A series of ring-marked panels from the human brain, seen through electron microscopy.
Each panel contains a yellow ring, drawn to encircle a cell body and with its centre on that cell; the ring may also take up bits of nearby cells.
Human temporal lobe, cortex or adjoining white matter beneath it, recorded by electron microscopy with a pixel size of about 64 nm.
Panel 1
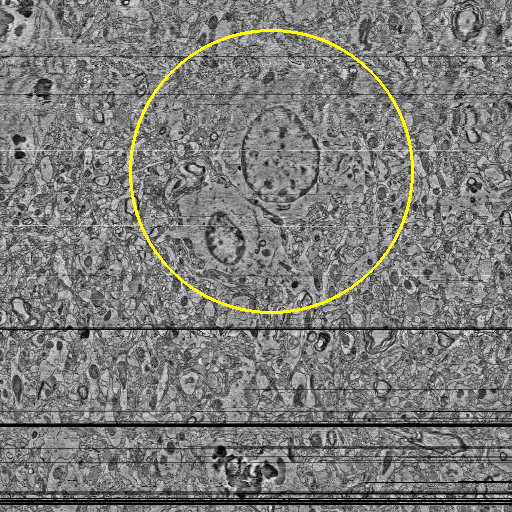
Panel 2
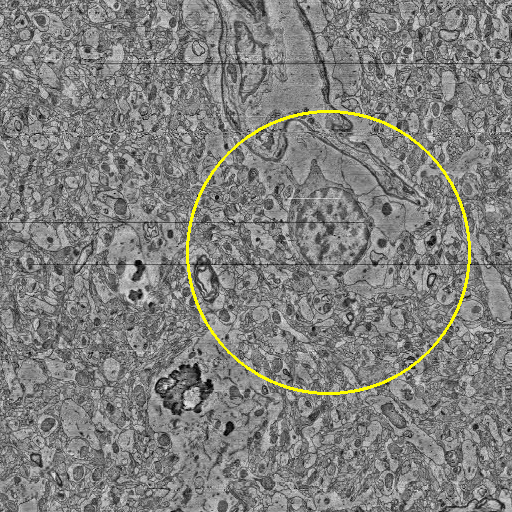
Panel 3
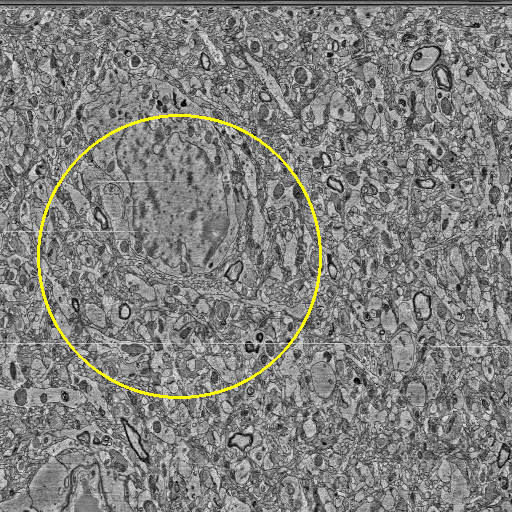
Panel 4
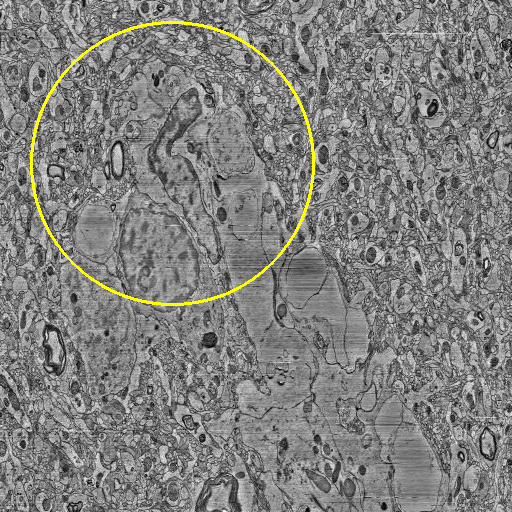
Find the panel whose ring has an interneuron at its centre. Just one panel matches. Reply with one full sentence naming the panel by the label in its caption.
The sought cell lies at the centre of the ring shown in Panel 3.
